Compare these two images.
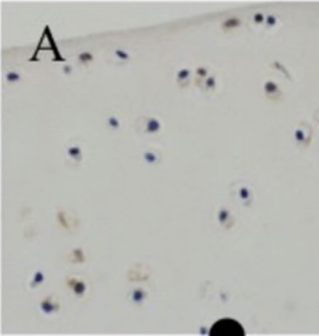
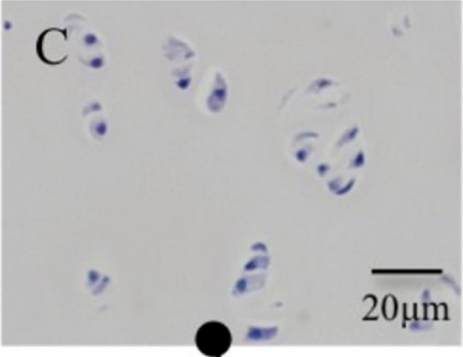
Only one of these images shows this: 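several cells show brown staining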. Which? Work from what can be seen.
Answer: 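Second image: cells show only blue nuclei with no brown colour. First image: a number of cells have brown staining around their blue nuclei. On this evidence: the first image.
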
